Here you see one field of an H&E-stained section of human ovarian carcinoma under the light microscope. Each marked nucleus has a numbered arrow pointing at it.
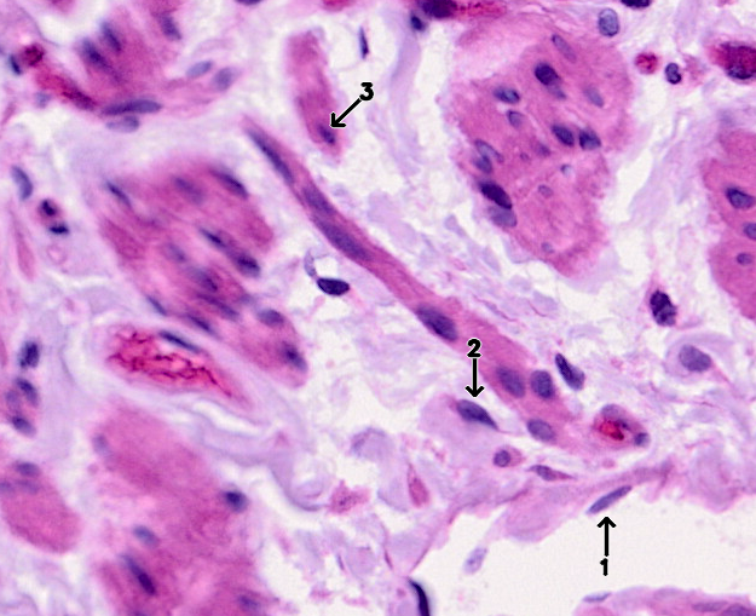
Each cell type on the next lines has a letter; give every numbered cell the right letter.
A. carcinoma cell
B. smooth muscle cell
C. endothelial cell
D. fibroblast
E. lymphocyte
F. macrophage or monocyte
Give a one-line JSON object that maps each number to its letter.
{"1": "C", "2": "D", "3": "B"}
